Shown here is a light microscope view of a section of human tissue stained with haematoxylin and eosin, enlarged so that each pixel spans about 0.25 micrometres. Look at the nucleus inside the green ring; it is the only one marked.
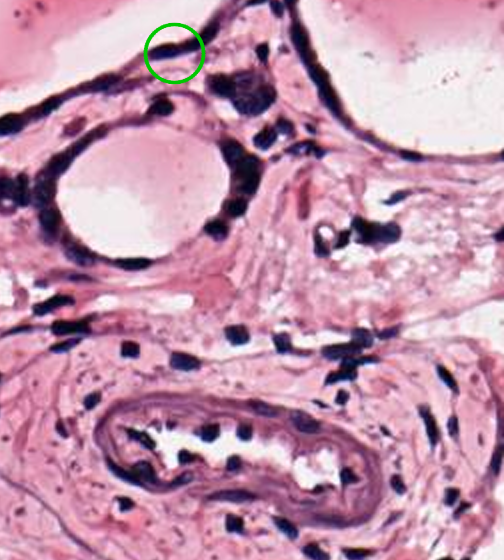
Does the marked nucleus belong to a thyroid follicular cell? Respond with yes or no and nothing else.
yes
